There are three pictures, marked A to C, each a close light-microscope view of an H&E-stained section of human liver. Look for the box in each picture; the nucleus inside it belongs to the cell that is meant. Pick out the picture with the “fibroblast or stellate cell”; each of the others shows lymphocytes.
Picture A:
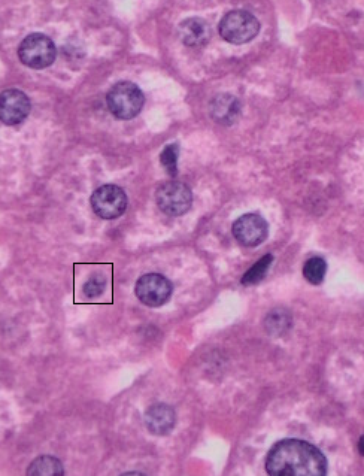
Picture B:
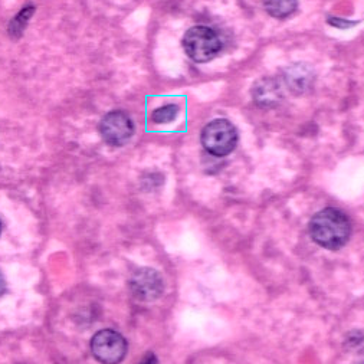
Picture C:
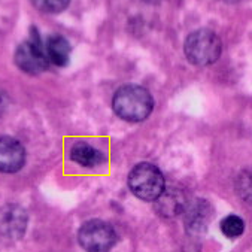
C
